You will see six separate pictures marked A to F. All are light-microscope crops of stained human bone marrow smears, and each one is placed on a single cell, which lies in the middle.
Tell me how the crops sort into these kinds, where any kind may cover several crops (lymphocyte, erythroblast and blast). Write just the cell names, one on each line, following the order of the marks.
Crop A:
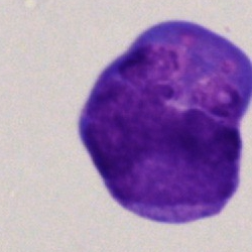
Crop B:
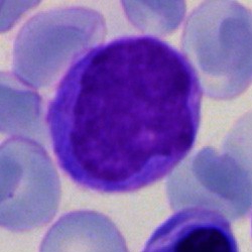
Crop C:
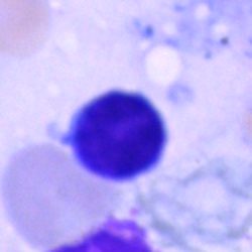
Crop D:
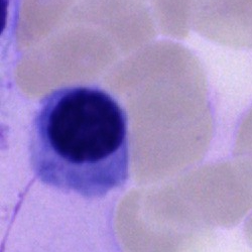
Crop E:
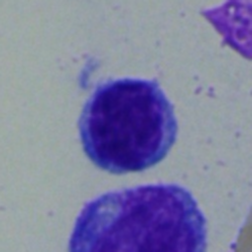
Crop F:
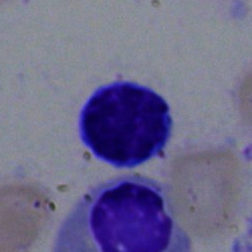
blast
blast
lymphocyte
erythroblast
lymphocyte
lymphocyte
